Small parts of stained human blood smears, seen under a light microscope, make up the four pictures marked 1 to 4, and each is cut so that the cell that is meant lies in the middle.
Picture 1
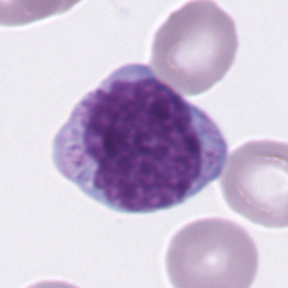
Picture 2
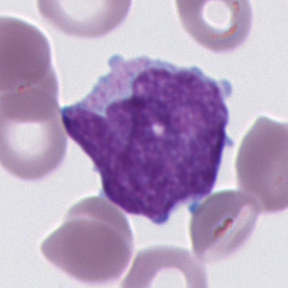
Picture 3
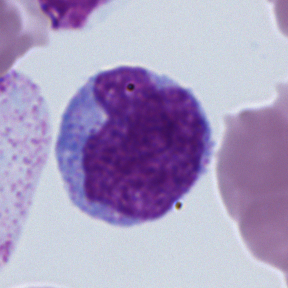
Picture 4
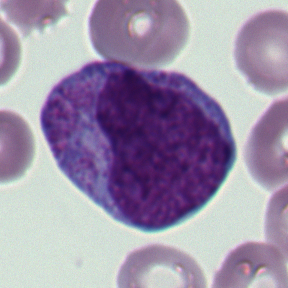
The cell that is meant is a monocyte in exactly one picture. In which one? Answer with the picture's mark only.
3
